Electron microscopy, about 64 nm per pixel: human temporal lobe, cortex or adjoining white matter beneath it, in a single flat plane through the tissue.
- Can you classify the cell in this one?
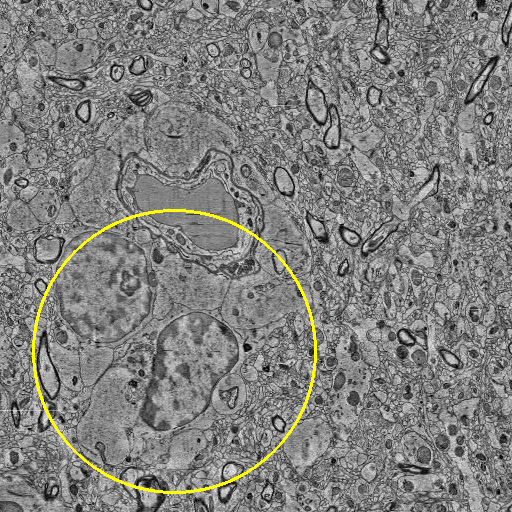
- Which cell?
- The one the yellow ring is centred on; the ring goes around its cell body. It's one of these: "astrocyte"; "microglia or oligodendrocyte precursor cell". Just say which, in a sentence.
The cell body in the ring belongs to a microglial cell or oligodendrocyte precursor cell.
